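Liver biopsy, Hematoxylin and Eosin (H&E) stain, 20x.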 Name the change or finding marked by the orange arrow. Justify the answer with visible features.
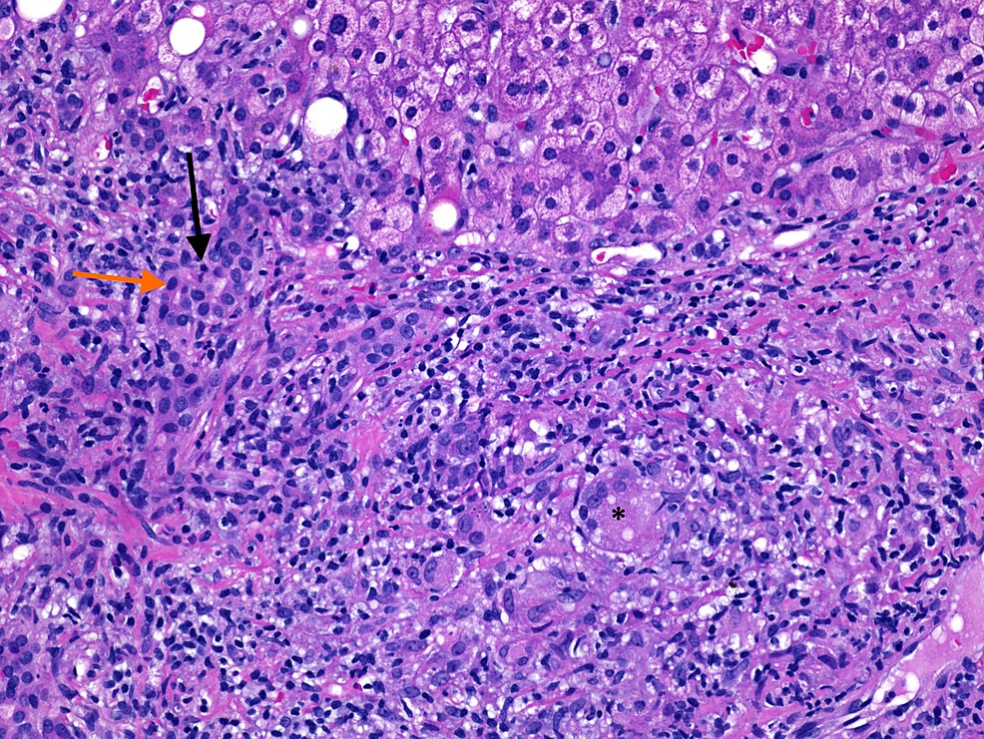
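Lymphocytic cholangitis. The orange arrow points to a cluster of small epithelial cells crowded with small dark round lymphocytes. Dense lymphocytes lie around and among the epithelial cells.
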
